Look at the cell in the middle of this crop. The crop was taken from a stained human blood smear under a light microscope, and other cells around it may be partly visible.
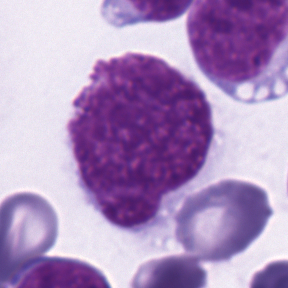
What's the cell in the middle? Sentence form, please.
The cell at the middle of the frame should be recorded as a blast.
